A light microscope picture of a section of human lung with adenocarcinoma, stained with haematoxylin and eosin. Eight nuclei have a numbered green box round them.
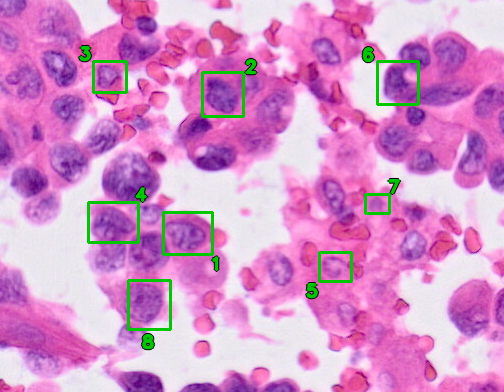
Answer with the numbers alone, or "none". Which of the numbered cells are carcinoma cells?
1, 2, 4, 6, 8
